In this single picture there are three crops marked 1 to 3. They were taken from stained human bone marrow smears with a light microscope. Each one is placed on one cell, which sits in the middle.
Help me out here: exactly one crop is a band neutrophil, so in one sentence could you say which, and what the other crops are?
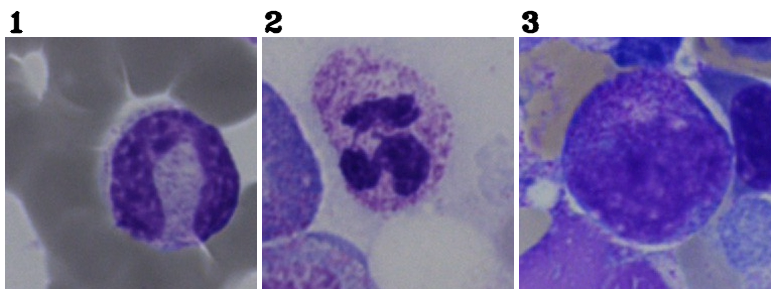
In the case of crop 1, the cell is a band neutrophil, while crop 2 is a segmented neutrophil and crop 3 is a promyelocyte.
